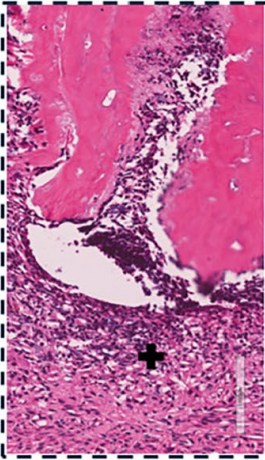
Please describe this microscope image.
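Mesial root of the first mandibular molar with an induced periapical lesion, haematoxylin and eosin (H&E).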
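At higher power this shows the very tip of the root and the tissue right beneath it. The pink mineralized root walls frame a canal whose contents are loose and studded with dark nuclei and debris. At the apex lies a clear, empty space, with a clump of very dark-staining cells along its edge. Beneath it the tissue is a dense sheet of small round cells with dark purple nuclei and scant cytoplasm, an extensive inflammatory infiltrate. Farther down, the cells become sparser and more elongated in a paler pink fibrous background.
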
